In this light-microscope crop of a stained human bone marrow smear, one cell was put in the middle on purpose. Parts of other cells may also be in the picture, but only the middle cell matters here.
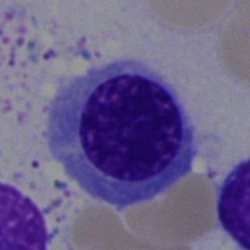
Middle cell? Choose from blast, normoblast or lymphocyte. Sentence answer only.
Standing at the centre of this crop is a normoblast.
